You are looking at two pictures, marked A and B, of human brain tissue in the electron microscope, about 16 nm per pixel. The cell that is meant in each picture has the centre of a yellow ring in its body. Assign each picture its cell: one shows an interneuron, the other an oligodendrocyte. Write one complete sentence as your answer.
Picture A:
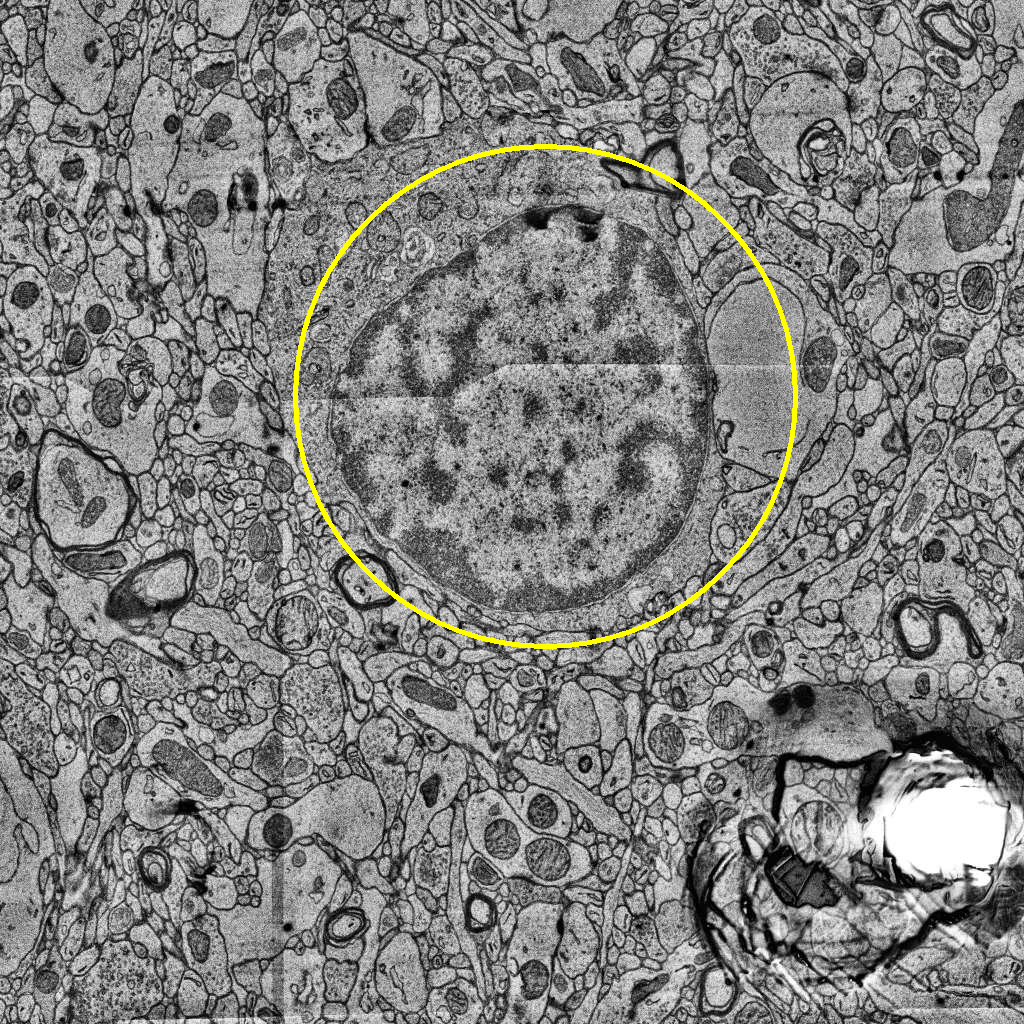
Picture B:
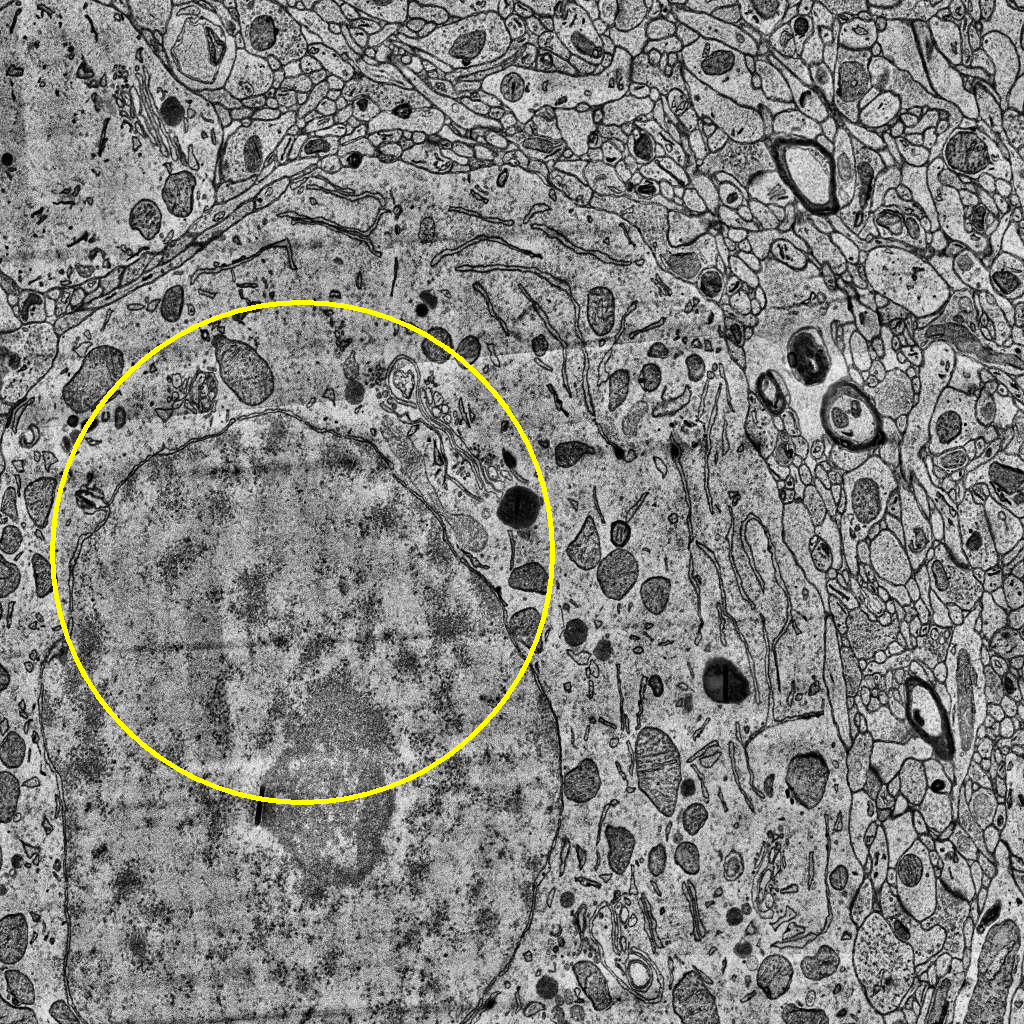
Picture B shows an interneuron, while picture A shows an oligodendrocyte.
